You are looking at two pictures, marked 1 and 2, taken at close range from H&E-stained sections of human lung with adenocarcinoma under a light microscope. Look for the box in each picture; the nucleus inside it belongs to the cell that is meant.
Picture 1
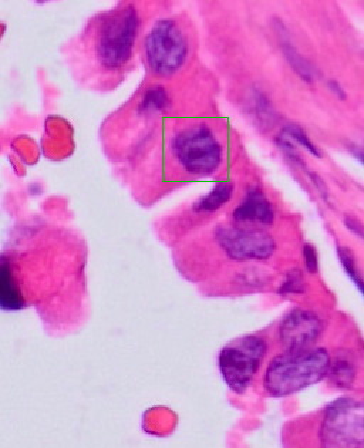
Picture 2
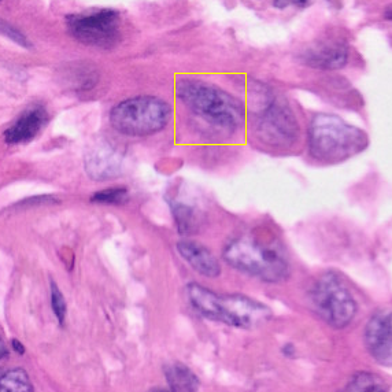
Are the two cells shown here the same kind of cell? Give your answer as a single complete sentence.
Yes, both cells are carcinoma cells.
